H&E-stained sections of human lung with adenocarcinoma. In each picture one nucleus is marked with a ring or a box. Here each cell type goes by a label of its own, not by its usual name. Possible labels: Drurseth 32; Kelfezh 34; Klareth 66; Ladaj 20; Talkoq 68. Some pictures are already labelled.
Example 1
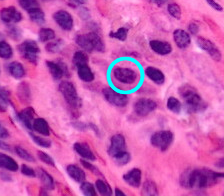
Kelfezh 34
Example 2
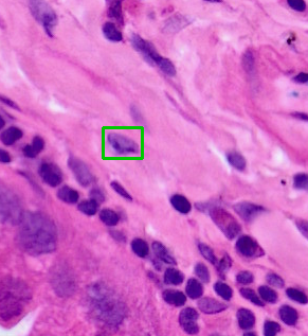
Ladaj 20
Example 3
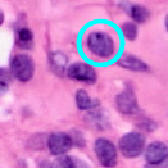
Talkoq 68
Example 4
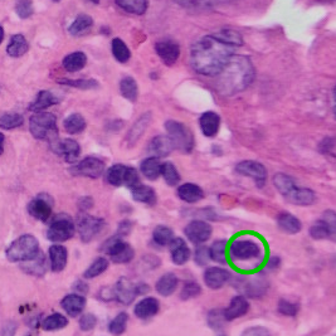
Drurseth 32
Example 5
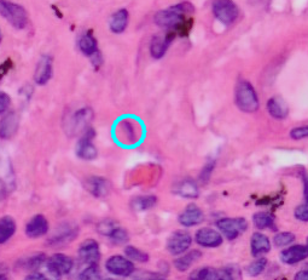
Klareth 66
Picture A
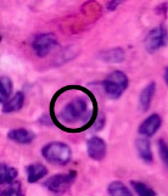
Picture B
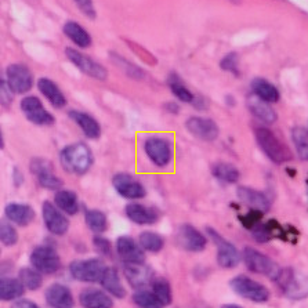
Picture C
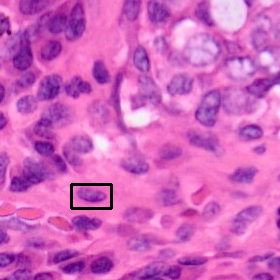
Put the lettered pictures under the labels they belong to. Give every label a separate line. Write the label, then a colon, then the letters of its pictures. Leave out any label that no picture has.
Drurseth 32: A
Talkoq 68: B, C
